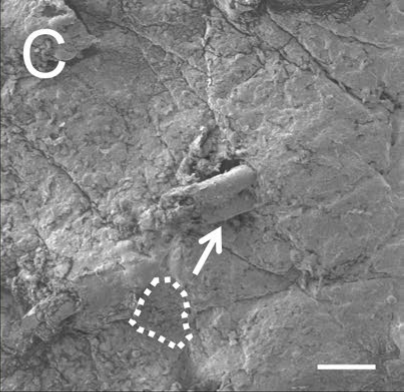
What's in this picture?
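The surface is covered by flat, polygonal plate-like cells fitted edge to edge, with fine cracks and edges marking their borders, in a squamous arrangement. A short cylindrical hair shaft emerges from a small opening in this surface. These flat plates are the corneocytes of the most superficial layer of the skin.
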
